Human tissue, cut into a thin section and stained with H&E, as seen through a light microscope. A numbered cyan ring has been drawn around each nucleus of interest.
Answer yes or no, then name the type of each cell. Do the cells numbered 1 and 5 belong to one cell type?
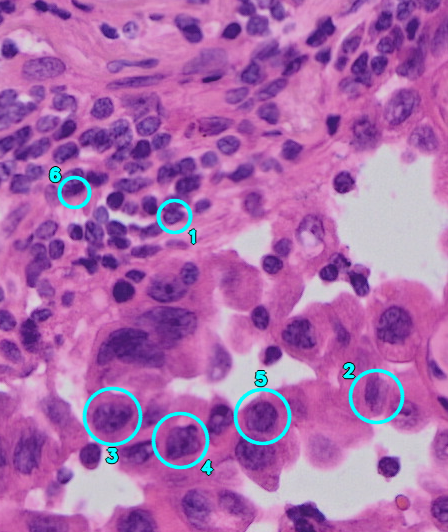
No, cell 1 counts as a lymphocyte, and cell 5 counts as a carcinoma cell.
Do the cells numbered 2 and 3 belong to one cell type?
Yes, both of the numbered cells concerned, 2 and 3, are carcinoma cells.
